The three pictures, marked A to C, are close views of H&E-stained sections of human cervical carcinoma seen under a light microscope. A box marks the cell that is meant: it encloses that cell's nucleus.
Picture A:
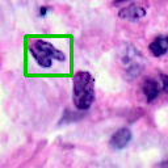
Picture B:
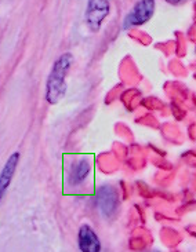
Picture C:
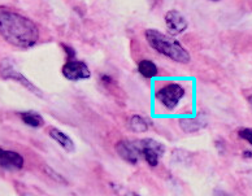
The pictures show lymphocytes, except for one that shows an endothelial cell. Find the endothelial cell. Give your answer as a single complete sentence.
The picture with the endothelial cell is B.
